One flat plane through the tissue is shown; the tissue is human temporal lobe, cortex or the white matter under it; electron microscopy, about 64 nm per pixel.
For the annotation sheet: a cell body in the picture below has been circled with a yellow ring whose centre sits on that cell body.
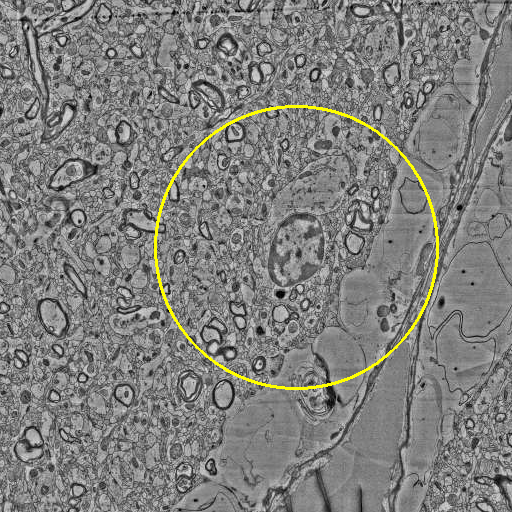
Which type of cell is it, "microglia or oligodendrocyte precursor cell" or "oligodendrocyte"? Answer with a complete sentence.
The circled cell is a microglial cell or oligodendrocyte precursor cell.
